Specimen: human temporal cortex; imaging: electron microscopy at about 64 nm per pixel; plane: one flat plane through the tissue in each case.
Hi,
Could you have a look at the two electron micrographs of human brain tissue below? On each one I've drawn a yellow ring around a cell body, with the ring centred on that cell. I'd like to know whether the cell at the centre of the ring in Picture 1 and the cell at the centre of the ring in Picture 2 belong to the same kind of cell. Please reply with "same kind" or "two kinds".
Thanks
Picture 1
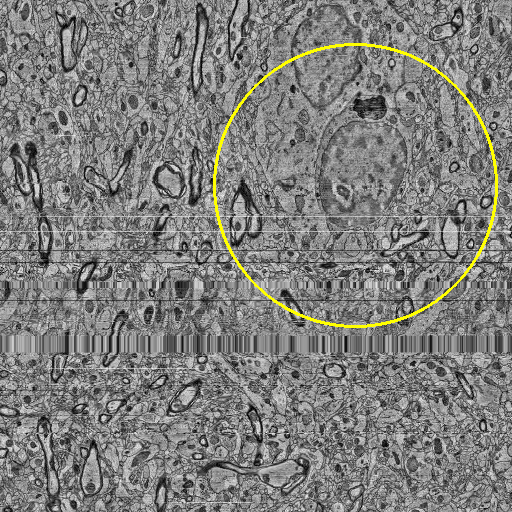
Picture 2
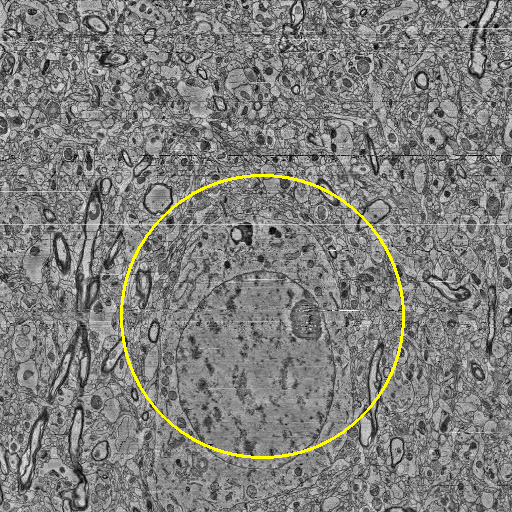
two kinds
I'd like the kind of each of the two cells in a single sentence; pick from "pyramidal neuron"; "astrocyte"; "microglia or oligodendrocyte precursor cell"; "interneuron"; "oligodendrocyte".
The first ring marks an oligodendrocyte, and the second ring marks a pyramidal neuron.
